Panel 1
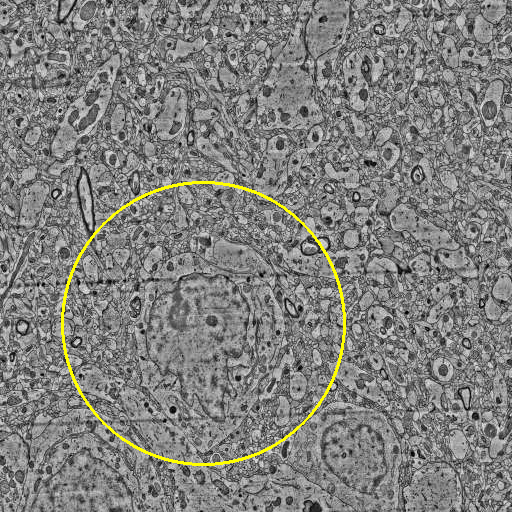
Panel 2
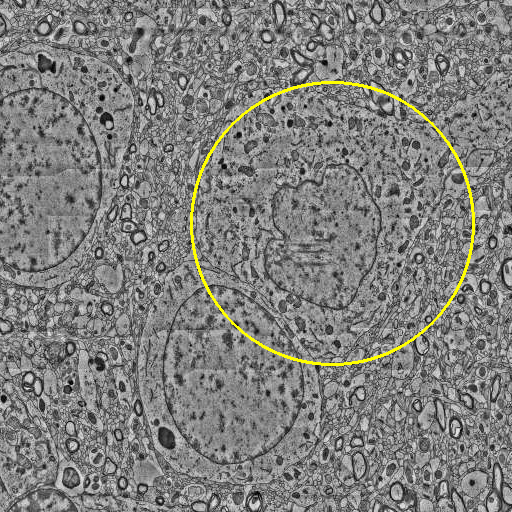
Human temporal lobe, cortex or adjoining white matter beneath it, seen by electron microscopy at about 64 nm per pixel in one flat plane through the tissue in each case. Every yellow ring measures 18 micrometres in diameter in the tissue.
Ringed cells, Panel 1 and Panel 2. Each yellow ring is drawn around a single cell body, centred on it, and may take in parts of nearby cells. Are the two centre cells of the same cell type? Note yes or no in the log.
no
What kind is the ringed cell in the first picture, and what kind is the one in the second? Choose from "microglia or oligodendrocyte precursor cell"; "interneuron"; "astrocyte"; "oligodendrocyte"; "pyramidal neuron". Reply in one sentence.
The first cell is an interneuron; the second is a pyramidal neuron.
